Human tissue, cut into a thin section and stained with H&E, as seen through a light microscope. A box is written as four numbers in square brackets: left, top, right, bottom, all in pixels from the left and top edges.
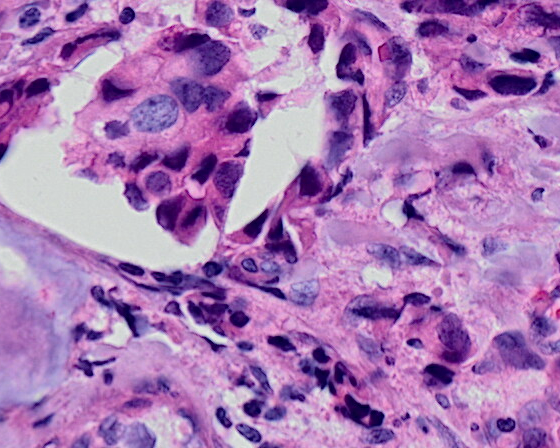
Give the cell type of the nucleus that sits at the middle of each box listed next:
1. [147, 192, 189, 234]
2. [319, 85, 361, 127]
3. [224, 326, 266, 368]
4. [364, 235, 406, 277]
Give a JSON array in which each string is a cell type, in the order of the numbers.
["carcinoma cell", "carcinoma cell", "lymphocyte", "fibroblast"]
